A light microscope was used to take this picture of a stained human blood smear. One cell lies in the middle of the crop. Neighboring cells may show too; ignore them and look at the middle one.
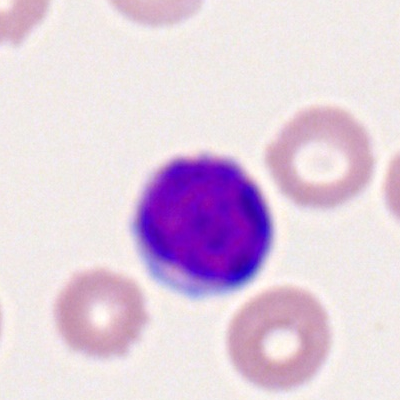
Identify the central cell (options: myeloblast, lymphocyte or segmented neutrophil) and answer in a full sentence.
What the crop centres on is a lymphocyte.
